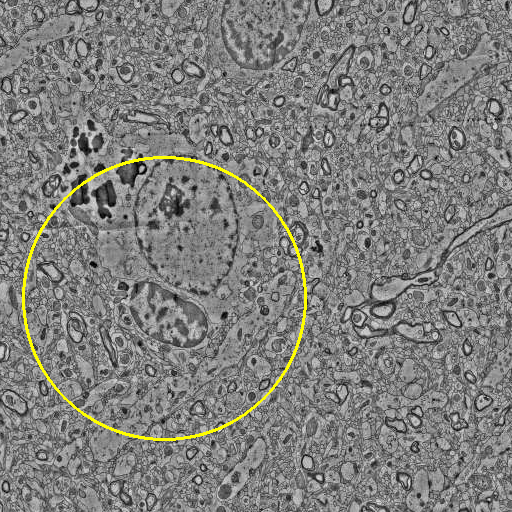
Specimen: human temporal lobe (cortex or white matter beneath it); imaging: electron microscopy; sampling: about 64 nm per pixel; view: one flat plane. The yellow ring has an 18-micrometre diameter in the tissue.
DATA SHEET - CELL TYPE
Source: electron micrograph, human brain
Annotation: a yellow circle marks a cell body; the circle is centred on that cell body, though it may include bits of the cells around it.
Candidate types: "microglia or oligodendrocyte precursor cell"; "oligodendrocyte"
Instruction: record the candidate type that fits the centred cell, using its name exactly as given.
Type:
microglia or oligodendrocyte precursor cell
